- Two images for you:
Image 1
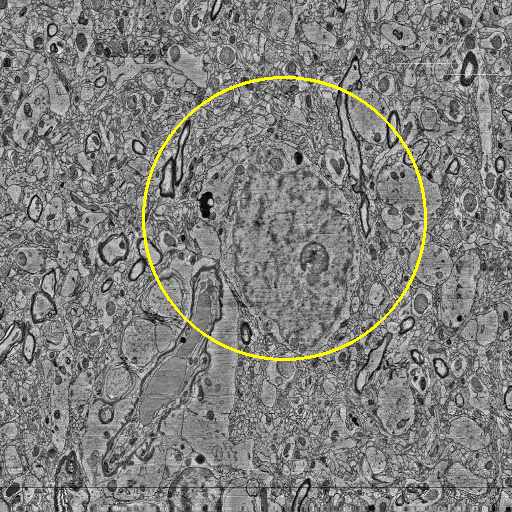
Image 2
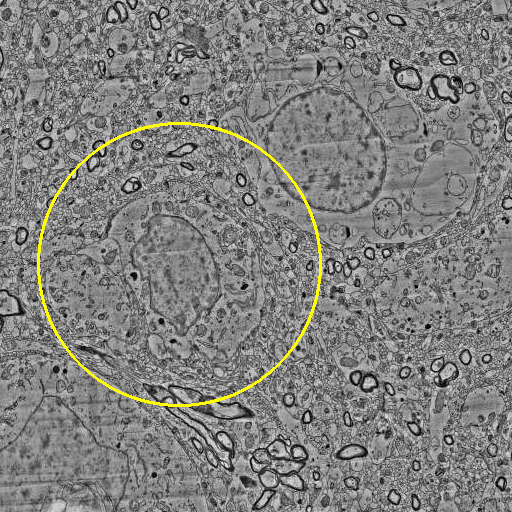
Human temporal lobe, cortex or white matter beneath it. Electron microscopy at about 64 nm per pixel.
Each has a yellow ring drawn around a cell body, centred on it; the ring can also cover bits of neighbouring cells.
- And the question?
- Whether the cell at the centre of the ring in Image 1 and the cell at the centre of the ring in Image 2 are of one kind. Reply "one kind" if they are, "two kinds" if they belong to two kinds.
one kind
